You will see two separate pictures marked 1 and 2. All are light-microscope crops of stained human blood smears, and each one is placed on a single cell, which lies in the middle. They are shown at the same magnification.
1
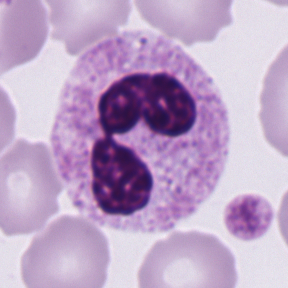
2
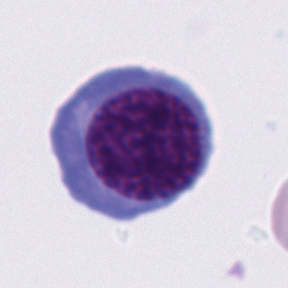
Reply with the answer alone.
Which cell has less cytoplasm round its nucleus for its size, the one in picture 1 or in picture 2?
2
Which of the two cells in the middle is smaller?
2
